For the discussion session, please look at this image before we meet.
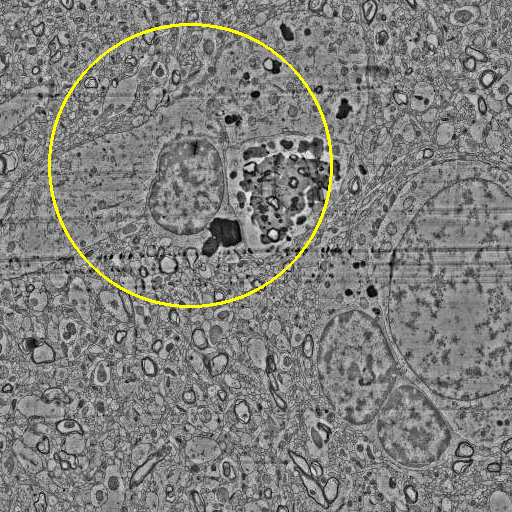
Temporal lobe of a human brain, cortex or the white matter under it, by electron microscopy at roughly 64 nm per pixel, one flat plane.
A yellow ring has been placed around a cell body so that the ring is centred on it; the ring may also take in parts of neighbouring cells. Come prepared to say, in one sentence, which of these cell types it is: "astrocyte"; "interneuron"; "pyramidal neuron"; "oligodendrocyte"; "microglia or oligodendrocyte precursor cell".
The cell centred in the ring is an oligodendrocyte.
